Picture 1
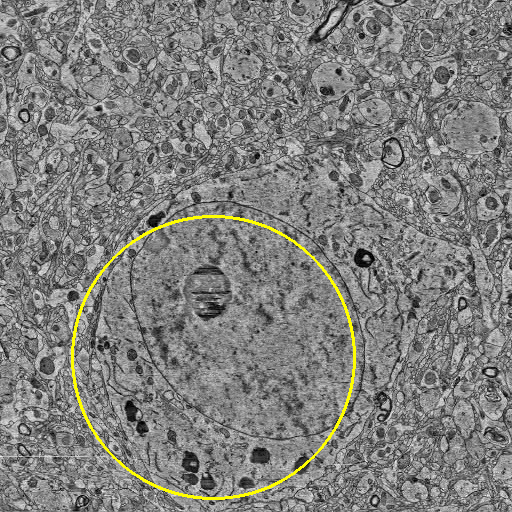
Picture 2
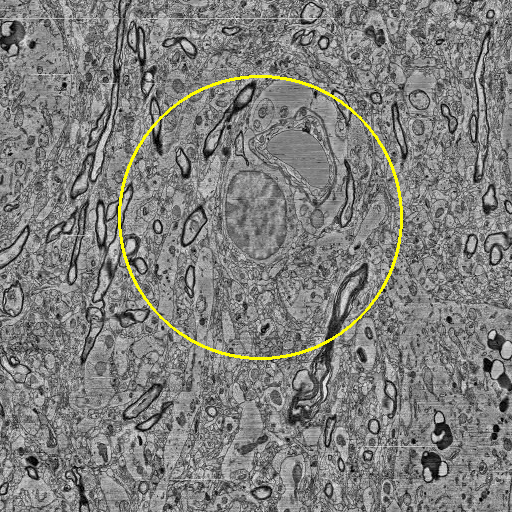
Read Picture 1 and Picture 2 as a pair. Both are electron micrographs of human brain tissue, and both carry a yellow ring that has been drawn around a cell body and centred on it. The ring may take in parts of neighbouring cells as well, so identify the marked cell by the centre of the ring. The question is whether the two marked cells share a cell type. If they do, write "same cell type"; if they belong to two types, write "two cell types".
two cell types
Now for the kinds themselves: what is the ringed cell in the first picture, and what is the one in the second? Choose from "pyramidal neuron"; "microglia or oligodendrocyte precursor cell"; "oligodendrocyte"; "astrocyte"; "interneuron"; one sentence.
Here the first cell is a pyramidal neuron and the second cell is an oligodendrocyte.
